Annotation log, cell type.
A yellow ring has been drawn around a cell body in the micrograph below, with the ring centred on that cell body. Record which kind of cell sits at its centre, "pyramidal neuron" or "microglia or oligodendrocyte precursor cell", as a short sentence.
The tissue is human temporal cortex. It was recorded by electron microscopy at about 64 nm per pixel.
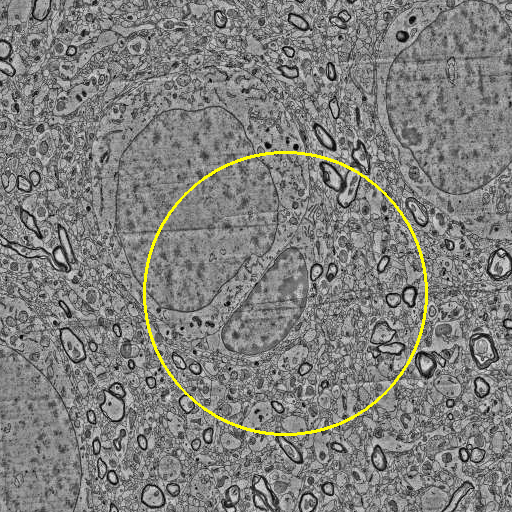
The cell at the centre of this ring is a microglial cell or oligodendrocyte precursor cell.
